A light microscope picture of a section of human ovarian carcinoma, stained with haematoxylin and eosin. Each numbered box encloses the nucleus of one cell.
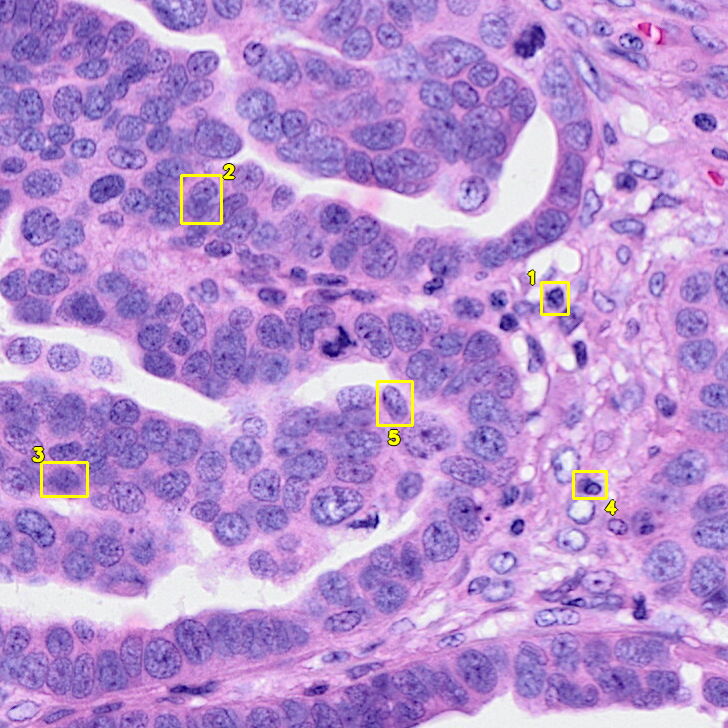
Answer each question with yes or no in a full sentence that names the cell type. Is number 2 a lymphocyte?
No, the cell indicated by 2 is a carcinoma cell instead of a lymphocyte.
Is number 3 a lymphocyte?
No, cell number 3 is a carcinoma cell; it is not a lymphocyte.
